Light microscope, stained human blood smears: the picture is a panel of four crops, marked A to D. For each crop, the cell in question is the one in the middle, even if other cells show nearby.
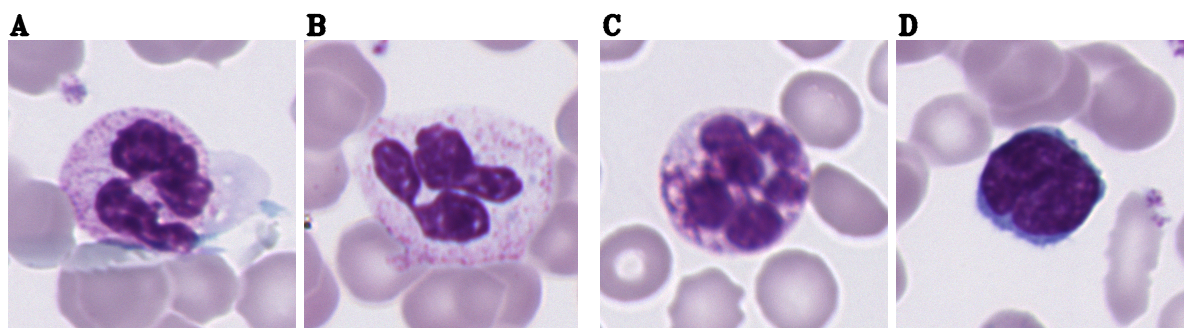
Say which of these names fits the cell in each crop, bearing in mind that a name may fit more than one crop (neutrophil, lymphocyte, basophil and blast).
A: neutrophil
B: neutrophil
C: basophil
D: lymphocyte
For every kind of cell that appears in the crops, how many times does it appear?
neutrophil: 2
basophil: 1
lymphocyte: 1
